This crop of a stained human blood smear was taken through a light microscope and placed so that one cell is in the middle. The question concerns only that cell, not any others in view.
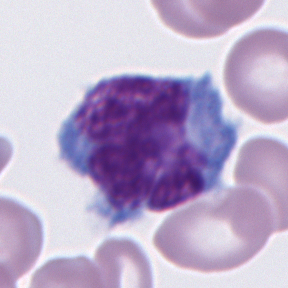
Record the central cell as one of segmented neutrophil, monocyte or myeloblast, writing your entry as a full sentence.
In the middle of this smear crop, the cell is a myeloblast.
